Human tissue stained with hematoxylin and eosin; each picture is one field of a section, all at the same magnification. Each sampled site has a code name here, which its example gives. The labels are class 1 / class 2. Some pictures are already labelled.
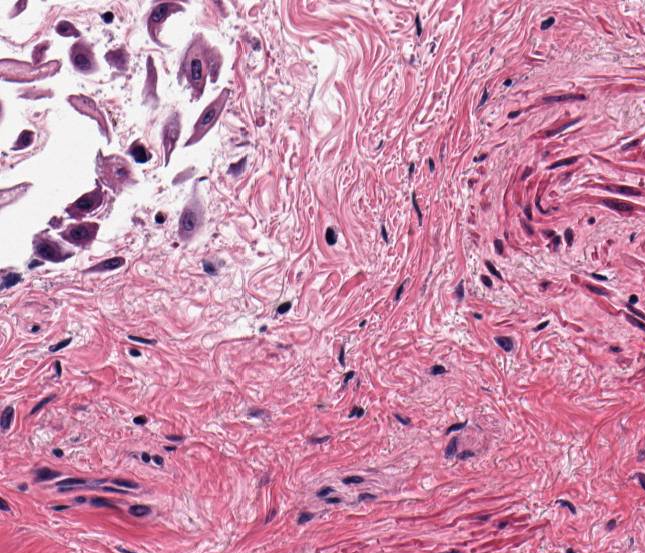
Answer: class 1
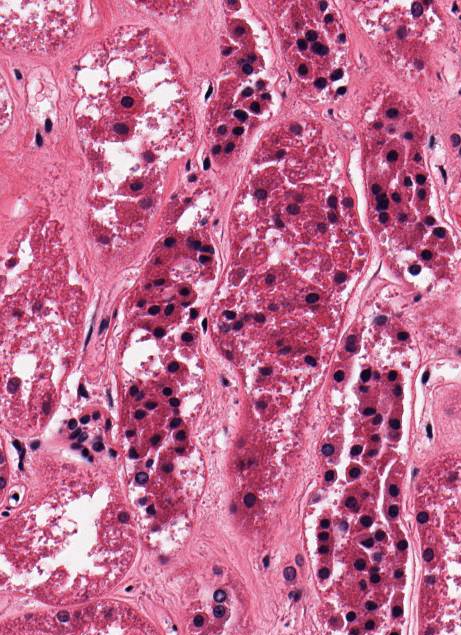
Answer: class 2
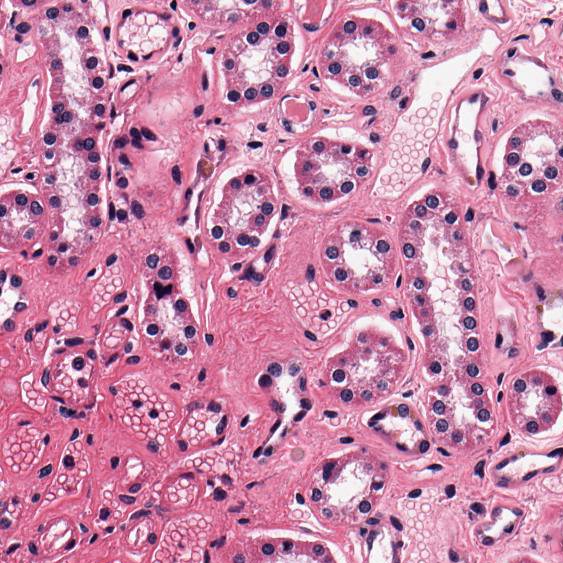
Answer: class 2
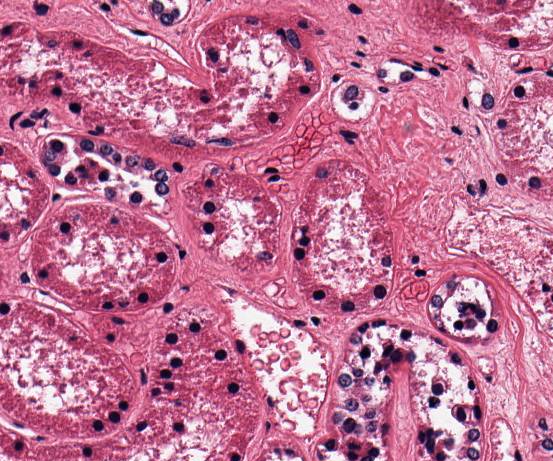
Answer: class 2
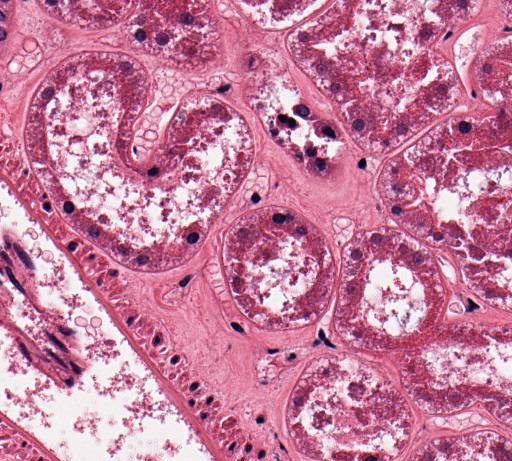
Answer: class 2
